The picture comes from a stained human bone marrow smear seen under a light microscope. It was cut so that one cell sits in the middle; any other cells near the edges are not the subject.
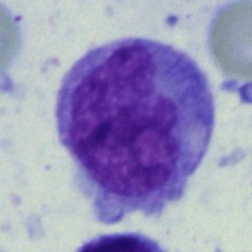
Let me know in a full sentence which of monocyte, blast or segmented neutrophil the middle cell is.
Classified as a monocyte is the cell in the middle of this crop.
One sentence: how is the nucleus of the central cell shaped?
Please observe that the nucleus consists of one compact round, oval or kidney-shaped mass.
